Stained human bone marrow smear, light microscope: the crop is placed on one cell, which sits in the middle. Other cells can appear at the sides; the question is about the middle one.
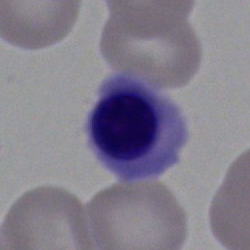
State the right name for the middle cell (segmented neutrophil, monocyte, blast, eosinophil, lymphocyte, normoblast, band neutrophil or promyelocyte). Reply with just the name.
normoblast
